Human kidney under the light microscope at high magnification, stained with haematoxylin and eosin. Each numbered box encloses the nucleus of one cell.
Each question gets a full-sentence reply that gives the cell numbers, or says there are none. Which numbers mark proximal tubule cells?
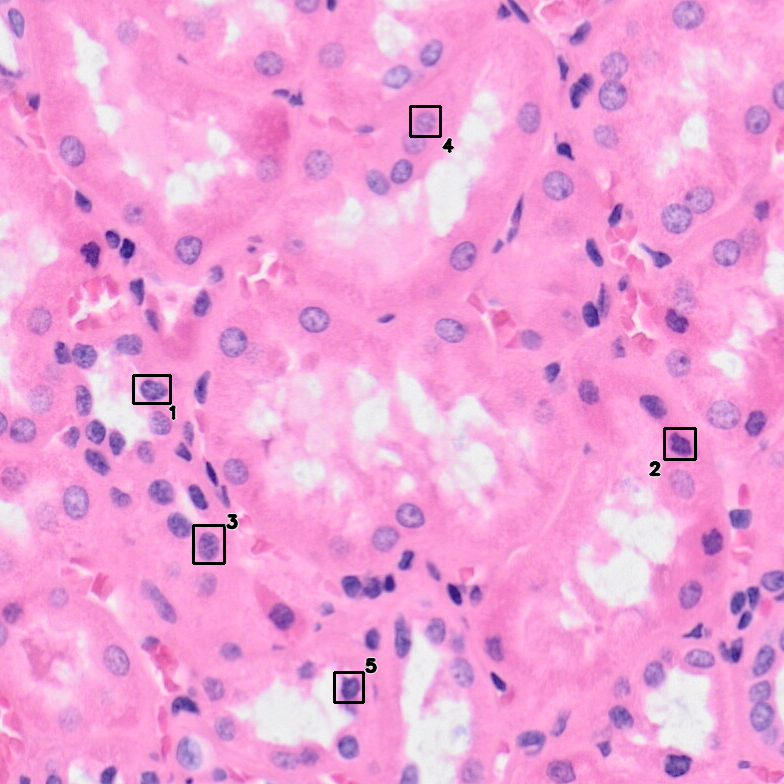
Identified as proximal tubule cells are the cells numbered 2 and 4.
